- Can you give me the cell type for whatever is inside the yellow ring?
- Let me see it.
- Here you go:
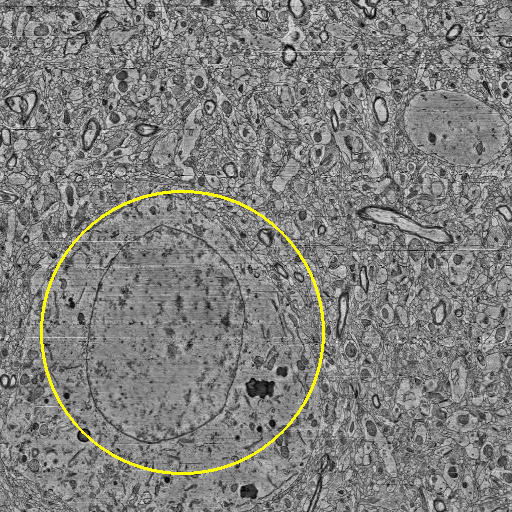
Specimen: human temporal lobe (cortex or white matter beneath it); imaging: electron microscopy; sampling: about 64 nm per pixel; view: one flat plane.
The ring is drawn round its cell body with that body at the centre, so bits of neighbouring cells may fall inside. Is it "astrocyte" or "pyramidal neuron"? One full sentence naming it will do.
The cell body in the middle of the ring in this picture belongs to a pyramidal neuron.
